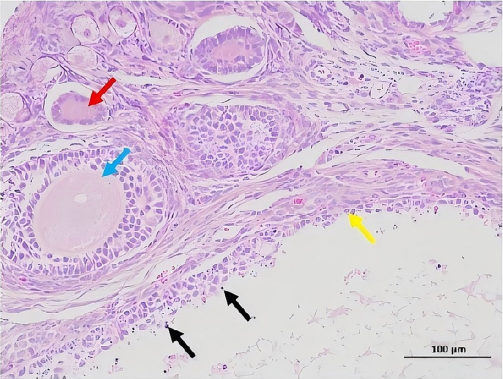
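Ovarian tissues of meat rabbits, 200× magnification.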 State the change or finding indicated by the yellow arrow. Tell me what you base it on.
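Follicular dilation. A large empty, clear cavity fills the lower right of the panel. Only a thin layer of cells lines the cavity.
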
